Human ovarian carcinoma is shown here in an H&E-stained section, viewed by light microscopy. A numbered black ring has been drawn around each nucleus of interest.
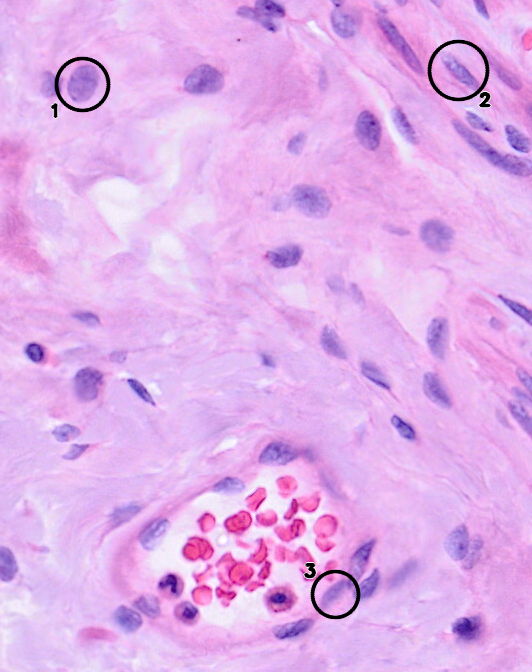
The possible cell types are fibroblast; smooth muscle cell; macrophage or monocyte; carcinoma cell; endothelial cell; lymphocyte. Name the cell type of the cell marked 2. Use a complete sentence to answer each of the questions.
The cell numbered 2 represents a smooth muscle cell.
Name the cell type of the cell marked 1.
The cell that is numbered 1 is a fibroblast.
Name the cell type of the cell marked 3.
Classified as an endothelial cell is the cell with the number 3.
